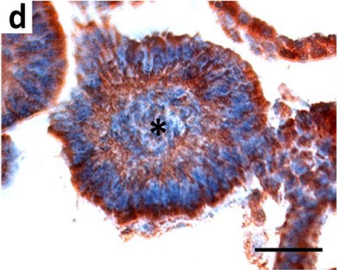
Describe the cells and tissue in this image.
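This is an epithelial somite seen in cross section: a round ball whose rim is a single layer of tall, wedge-shaped cells arranged radially around a centre. The blue nuclei sit at varying heights in the elongated cells, giving a pseudostratified look. Brown stain is densest along the outer, basal edge of the ball and is looser and more diffuse toward the inner ends of the cells. The centre, marked by an asterisk, holds a small cluster of loosely packed cells rather than a lumen.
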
